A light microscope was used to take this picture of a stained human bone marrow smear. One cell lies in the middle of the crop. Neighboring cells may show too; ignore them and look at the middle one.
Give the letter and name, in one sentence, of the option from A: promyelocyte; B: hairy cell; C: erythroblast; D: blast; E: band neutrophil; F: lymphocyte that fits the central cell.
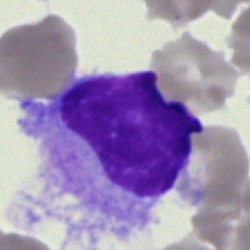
The correct option here is B; the middle cell is a hairy cell.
